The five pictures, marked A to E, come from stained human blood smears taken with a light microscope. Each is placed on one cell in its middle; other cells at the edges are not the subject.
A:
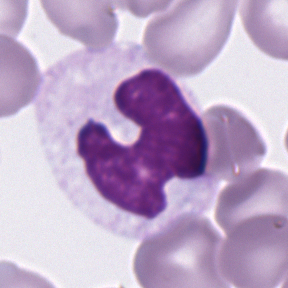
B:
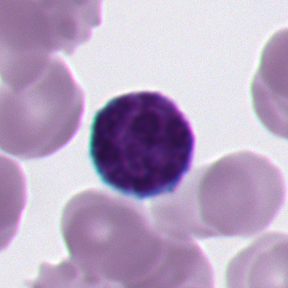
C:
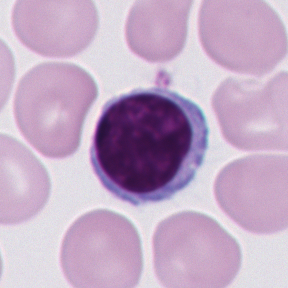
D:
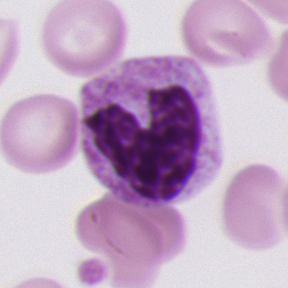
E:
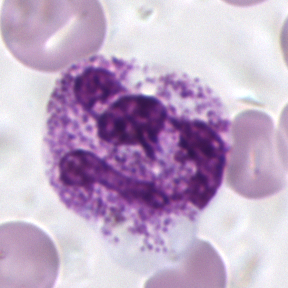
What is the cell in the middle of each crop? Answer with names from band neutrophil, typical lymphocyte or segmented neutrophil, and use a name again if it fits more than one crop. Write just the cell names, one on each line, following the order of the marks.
band neutrophil
typical lymphocyte
typical lymphocyte
band neutrophil
segmented neutrophil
